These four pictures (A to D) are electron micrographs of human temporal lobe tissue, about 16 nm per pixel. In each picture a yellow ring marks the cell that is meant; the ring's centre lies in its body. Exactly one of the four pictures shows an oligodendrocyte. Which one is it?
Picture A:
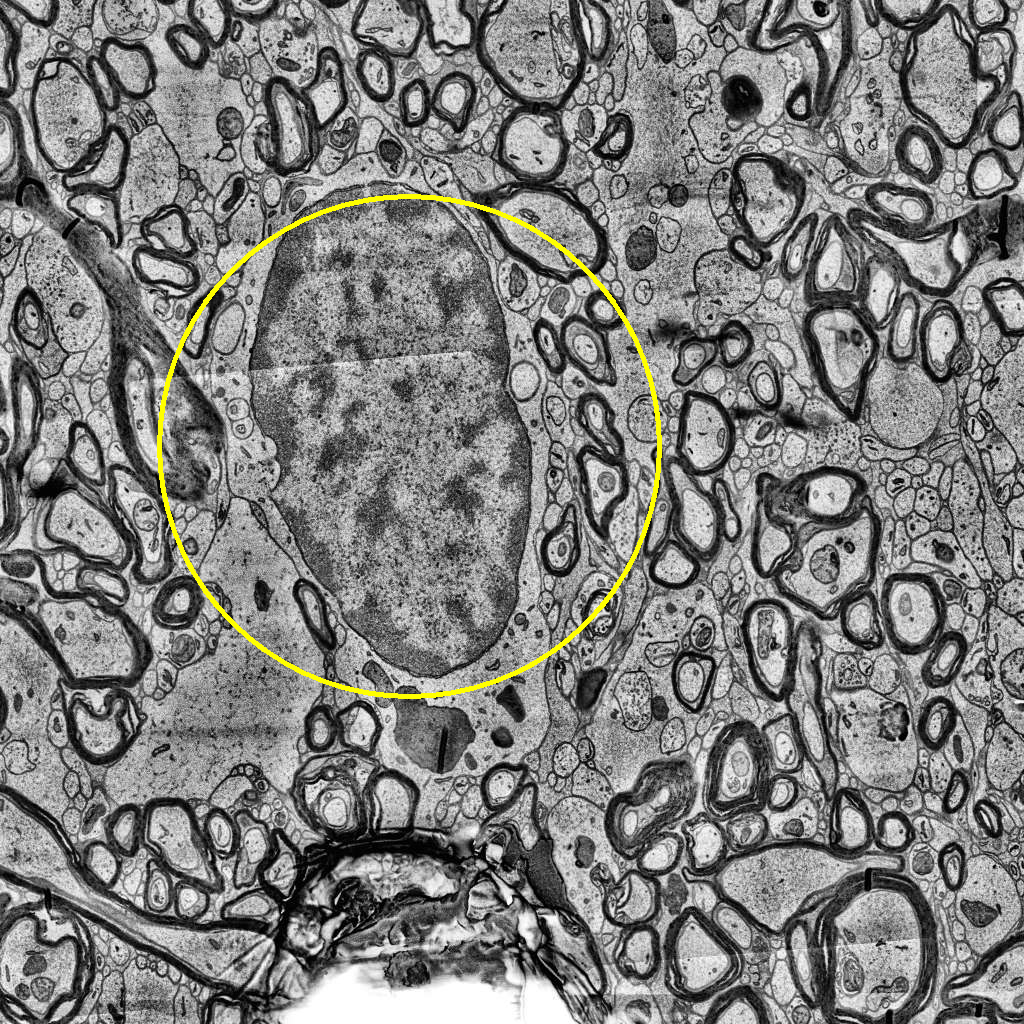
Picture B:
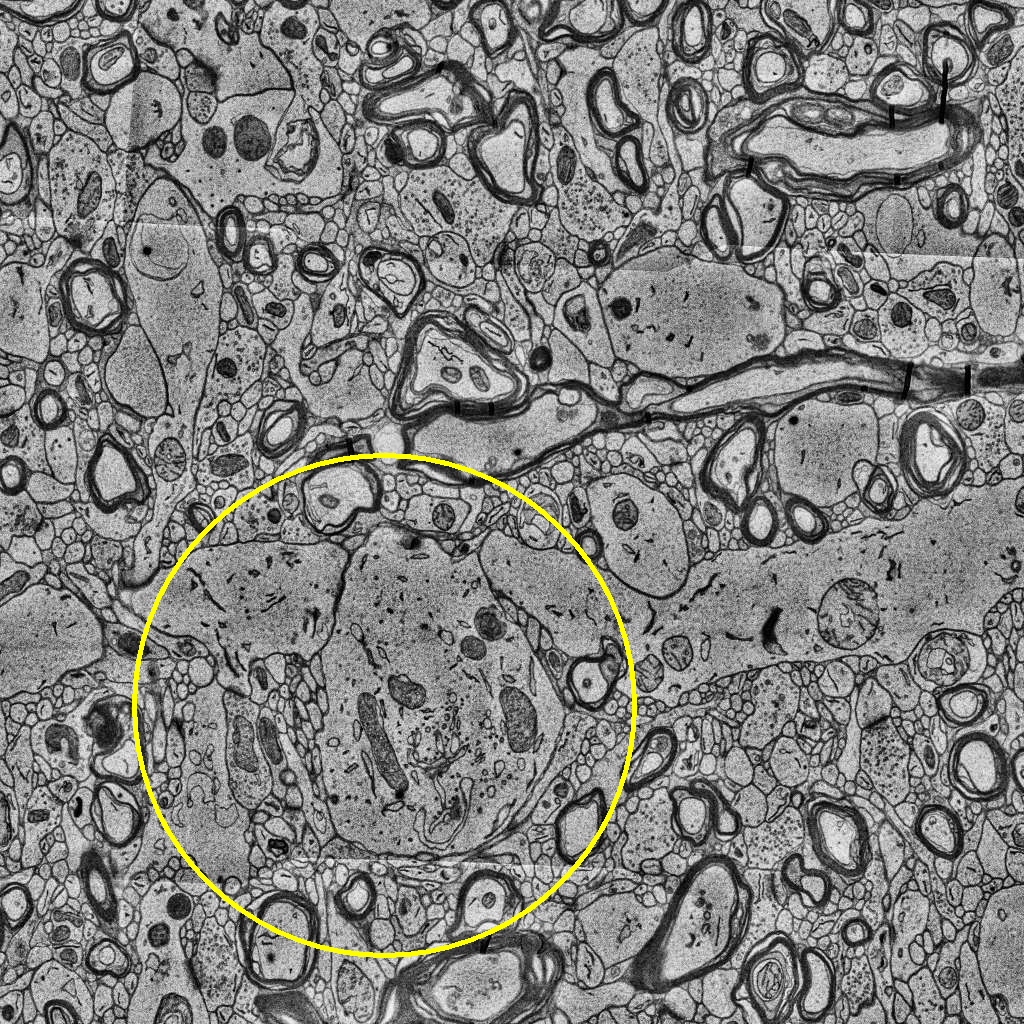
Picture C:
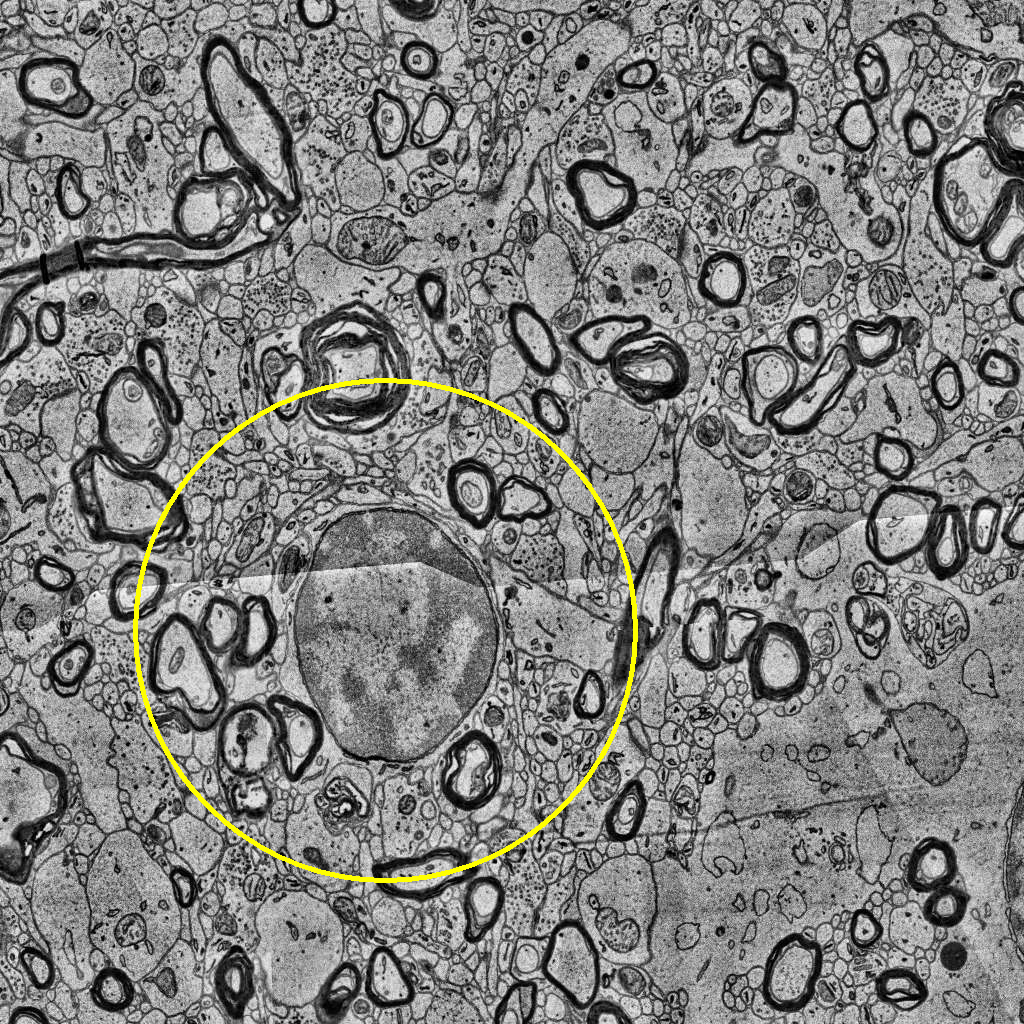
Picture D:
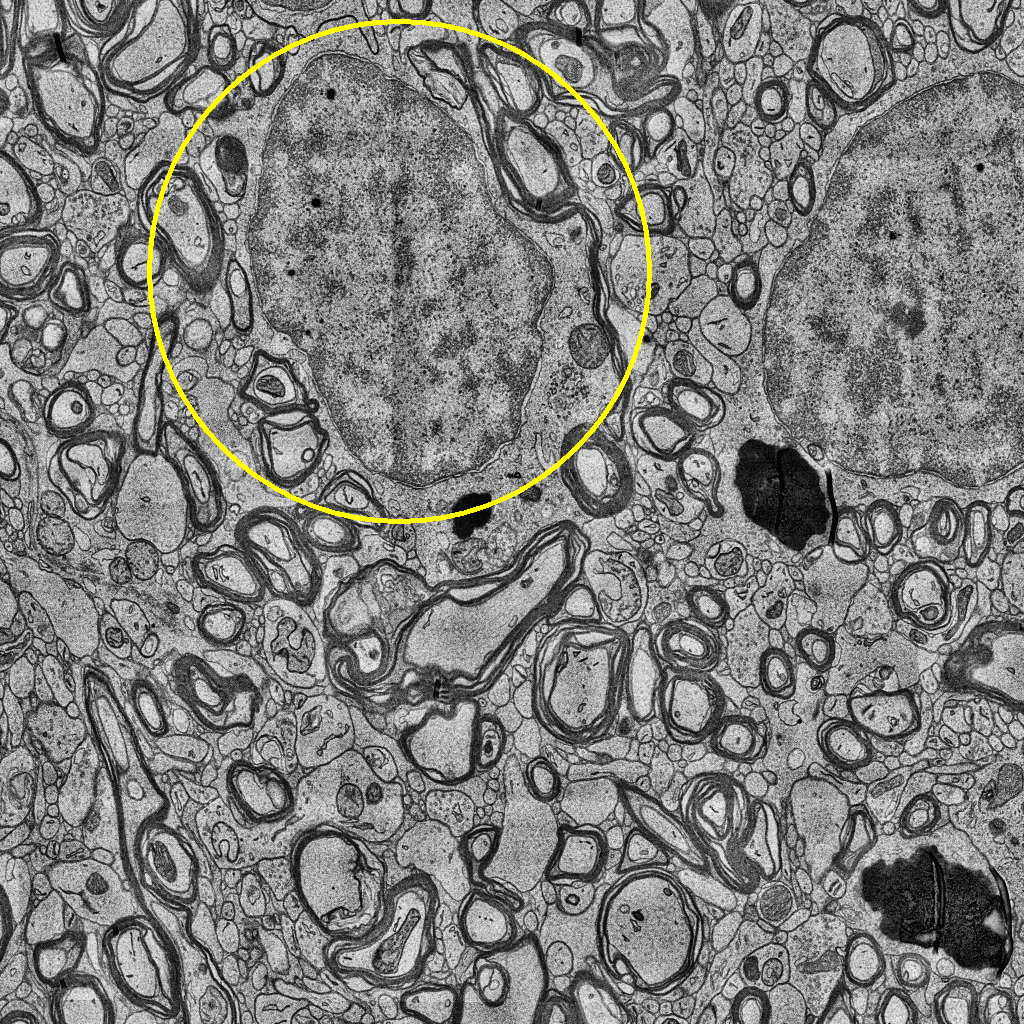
The oligodendrocyte is the one in picture D.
